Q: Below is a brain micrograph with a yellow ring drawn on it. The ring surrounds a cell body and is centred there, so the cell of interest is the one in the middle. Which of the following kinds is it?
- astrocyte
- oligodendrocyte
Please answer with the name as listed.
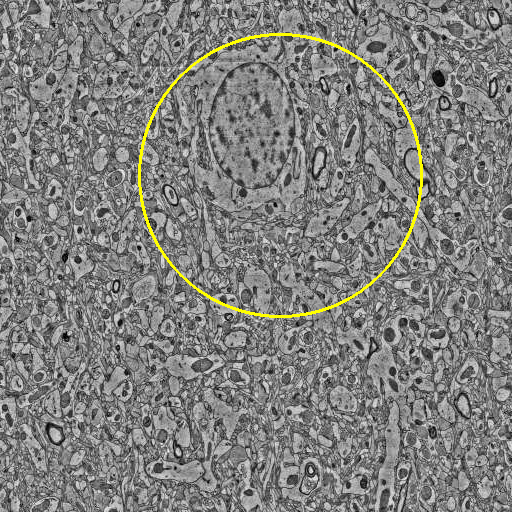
oligodendrocyte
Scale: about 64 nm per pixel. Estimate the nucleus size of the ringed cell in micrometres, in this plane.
Roughly 8 by 5 micrometres in this plane, for the nucleus of the ringed cell.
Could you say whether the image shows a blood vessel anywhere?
No, none appears.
